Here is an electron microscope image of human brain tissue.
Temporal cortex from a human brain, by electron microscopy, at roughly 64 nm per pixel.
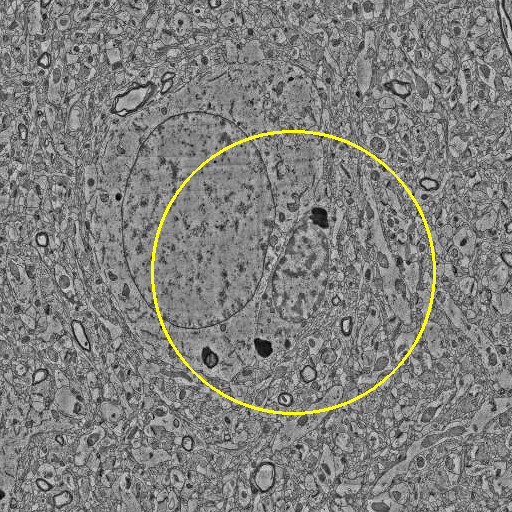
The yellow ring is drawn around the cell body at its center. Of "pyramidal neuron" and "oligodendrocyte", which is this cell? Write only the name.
oligodendrocyte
